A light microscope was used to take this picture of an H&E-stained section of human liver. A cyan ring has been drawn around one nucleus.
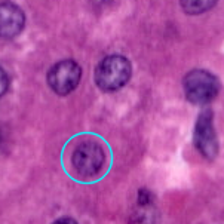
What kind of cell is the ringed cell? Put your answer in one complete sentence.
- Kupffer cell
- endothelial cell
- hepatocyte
In the context of this tissue, the ringed cell is a hepatocyte.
